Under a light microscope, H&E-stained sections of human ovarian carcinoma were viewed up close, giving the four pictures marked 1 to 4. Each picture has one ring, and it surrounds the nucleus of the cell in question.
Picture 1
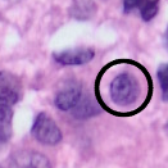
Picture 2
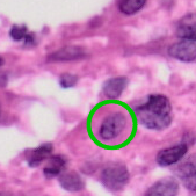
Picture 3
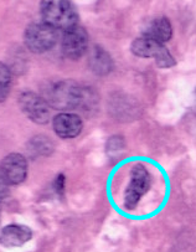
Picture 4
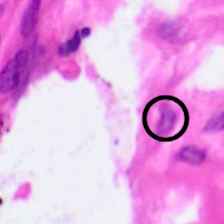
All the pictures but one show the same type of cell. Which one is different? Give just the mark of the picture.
4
